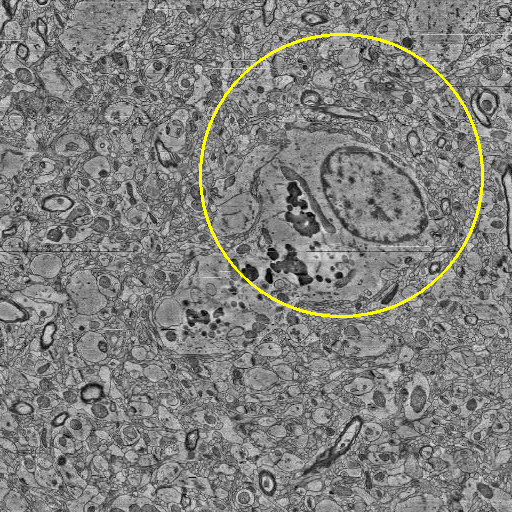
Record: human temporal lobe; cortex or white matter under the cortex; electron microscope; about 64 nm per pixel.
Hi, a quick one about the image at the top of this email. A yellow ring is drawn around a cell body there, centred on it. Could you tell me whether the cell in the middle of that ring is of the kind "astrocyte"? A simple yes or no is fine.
yes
